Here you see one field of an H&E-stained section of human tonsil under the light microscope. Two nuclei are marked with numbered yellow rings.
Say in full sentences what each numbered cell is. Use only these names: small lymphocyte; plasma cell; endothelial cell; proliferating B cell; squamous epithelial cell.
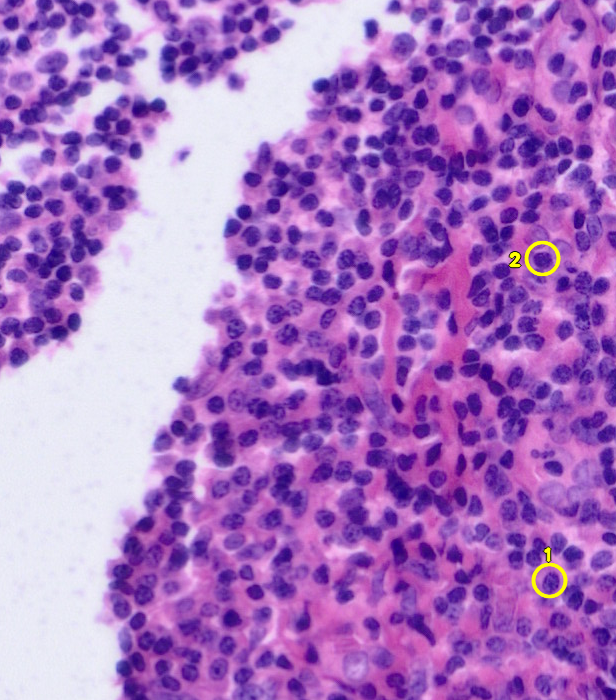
Cell 1 is a plasma cell. Cell 2 is an endothelial cell.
